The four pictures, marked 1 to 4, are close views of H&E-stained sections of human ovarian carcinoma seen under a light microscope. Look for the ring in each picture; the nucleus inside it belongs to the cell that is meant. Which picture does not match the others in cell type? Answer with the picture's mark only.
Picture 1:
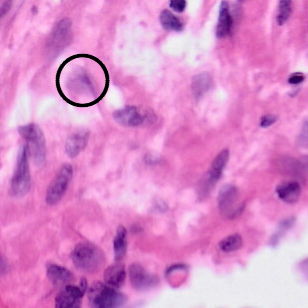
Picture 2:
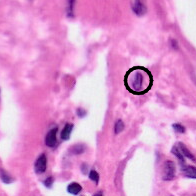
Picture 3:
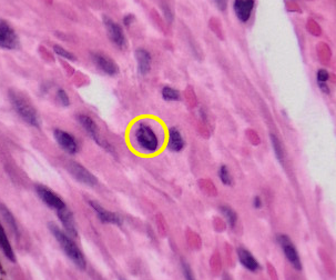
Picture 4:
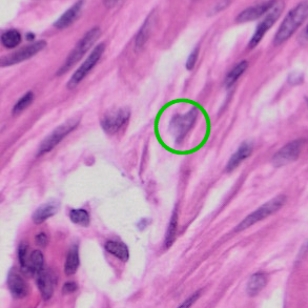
3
